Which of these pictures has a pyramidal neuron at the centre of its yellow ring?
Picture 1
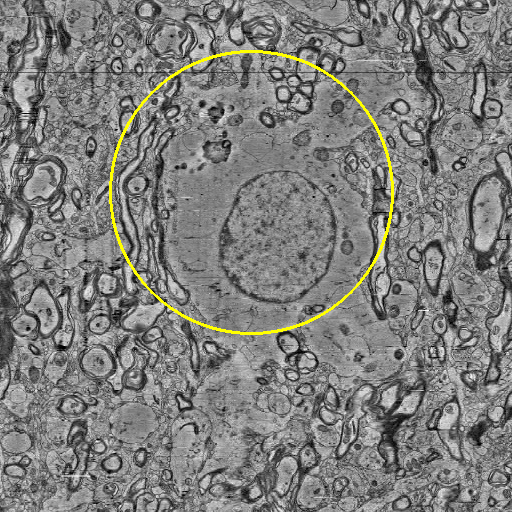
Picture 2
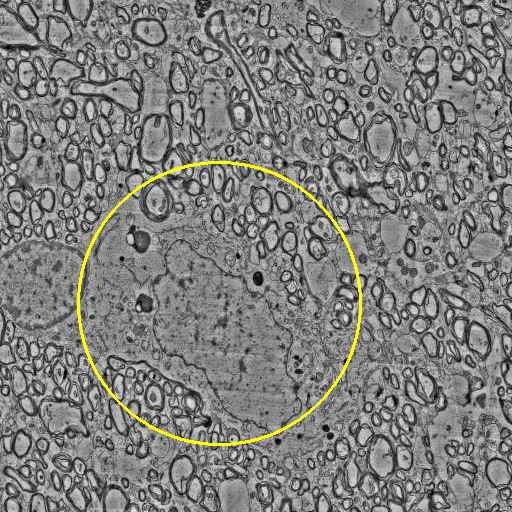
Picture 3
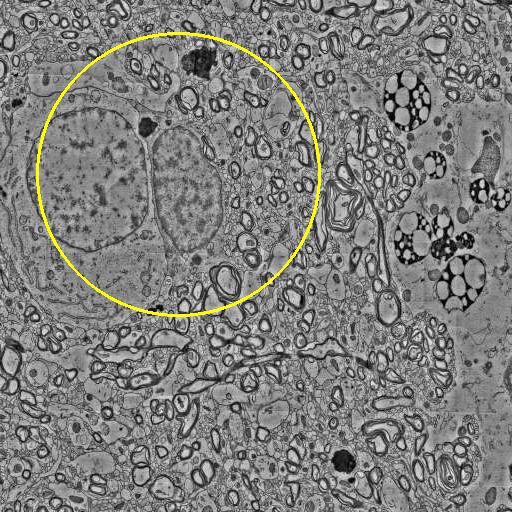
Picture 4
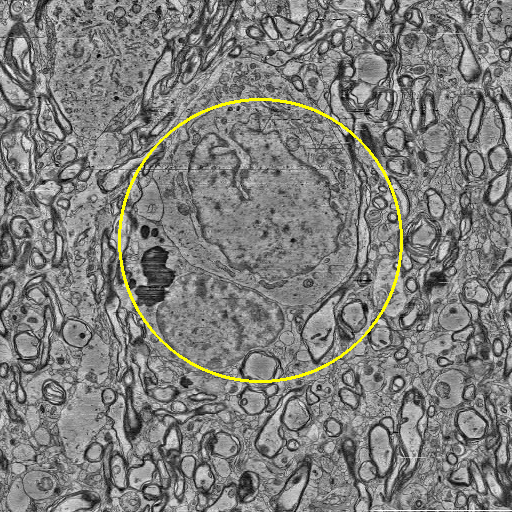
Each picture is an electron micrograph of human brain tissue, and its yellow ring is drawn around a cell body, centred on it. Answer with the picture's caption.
Picture 2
